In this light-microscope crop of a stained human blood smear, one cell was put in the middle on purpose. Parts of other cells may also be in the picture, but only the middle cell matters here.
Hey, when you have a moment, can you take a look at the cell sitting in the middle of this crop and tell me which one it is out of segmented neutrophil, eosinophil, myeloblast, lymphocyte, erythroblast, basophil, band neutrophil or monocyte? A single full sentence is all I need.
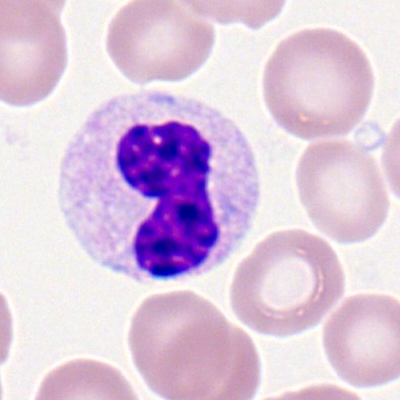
The cell at the middle of the frame should be recorded as a band neutrophil.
